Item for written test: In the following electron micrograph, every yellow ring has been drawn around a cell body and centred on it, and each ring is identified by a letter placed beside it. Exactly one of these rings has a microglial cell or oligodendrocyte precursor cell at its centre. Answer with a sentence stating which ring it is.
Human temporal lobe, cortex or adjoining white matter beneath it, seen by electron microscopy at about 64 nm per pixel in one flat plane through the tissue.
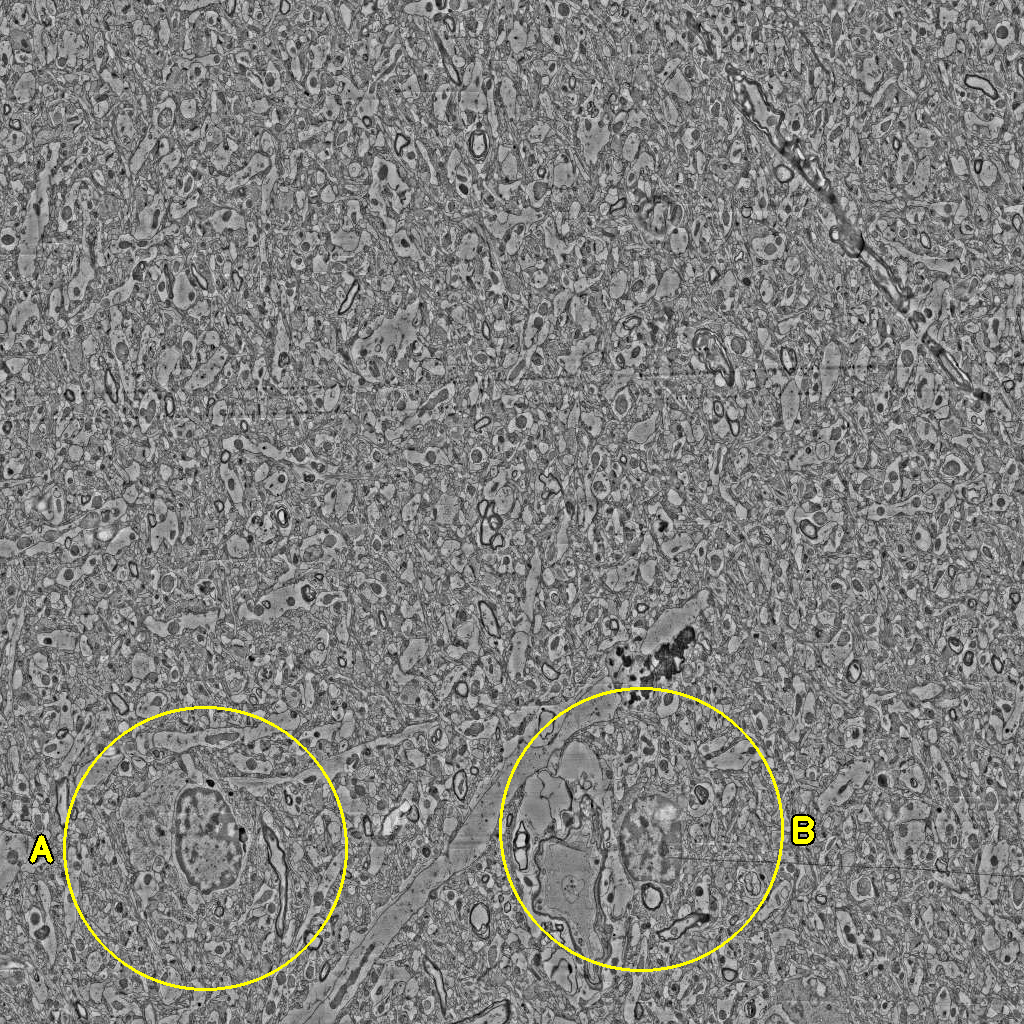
It is ring A.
